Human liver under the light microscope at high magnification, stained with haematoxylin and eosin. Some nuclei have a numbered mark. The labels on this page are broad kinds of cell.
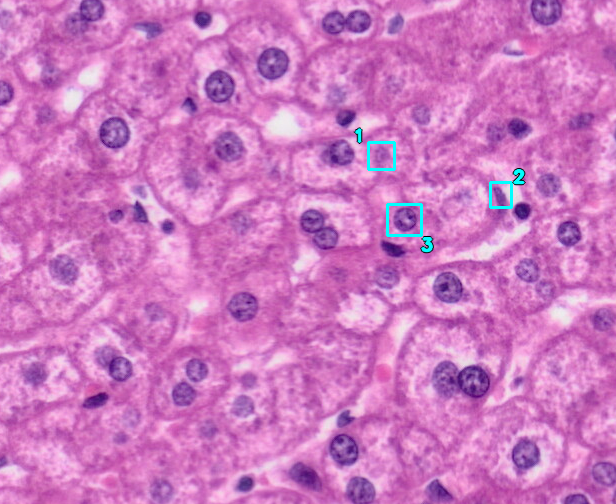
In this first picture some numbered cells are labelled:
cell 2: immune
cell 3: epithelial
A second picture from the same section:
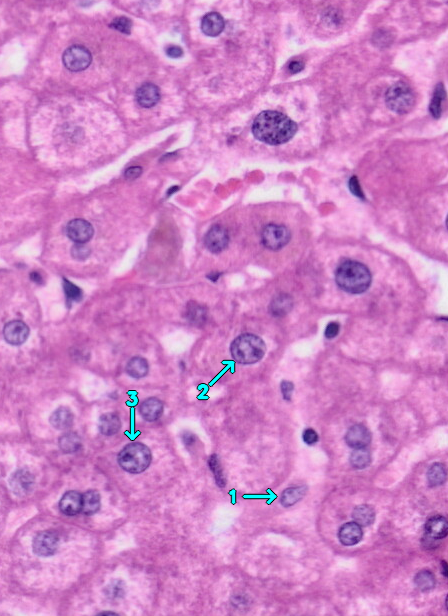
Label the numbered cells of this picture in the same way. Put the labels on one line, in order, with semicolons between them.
immune; epithelial; epithelial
